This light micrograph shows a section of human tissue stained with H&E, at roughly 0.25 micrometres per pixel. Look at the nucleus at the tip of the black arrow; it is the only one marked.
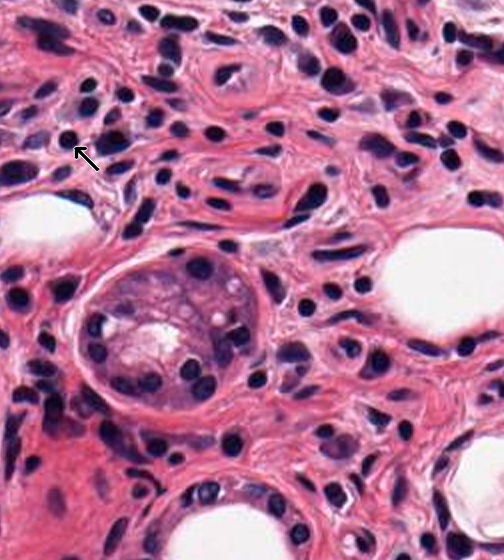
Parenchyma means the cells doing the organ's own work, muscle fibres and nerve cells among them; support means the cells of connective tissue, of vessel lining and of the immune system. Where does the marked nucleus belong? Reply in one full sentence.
The marked nucleus is seen within a supporting cell.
